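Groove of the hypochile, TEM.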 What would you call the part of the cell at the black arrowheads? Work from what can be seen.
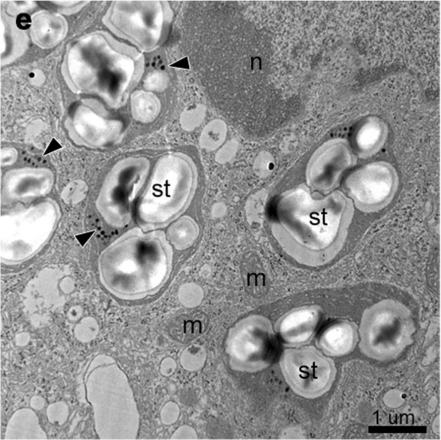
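The arrowheads point to small, dense black round dots. The dots cluster inside plastids that hold large pale starch grains. The answer: plastoglobuli.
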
